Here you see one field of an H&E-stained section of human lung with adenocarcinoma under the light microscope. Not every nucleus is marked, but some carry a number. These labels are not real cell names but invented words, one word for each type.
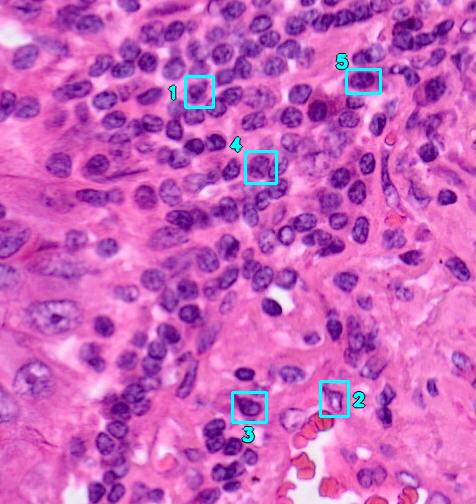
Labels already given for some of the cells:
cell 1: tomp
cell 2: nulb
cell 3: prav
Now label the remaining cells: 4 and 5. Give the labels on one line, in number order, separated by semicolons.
tomp; prav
